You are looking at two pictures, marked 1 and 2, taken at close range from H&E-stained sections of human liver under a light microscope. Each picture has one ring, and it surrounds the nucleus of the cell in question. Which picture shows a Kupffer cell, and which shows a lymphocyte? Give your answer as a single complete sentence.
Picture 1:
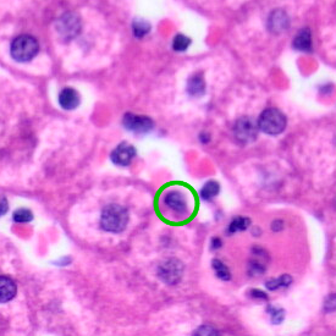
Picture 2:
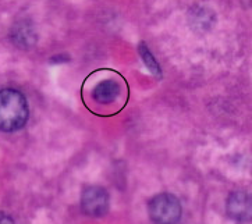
It is picture 1 that shows a Kupffer cell, and picture 2 that shows a lymphocyte.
